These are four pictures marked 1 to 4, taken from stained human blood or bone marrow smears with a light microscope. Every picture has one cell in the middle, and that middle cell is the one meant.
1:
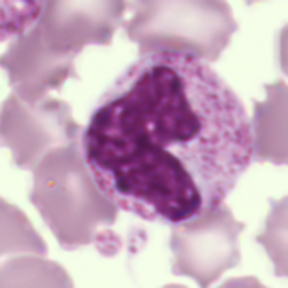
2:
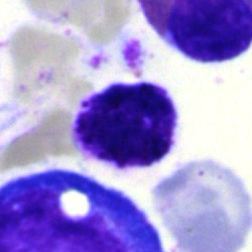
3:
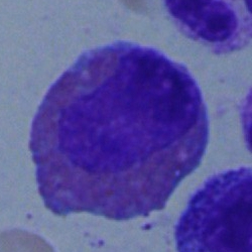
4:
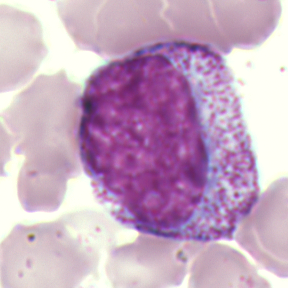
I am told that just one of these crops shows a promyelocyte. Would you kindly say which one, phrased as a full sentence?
As for which crop shows a promyelocyte, it is crop 4.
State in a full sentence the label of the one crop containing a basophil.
The crop marked 2 is the one that shows a basophil.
